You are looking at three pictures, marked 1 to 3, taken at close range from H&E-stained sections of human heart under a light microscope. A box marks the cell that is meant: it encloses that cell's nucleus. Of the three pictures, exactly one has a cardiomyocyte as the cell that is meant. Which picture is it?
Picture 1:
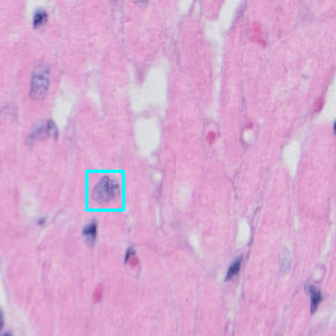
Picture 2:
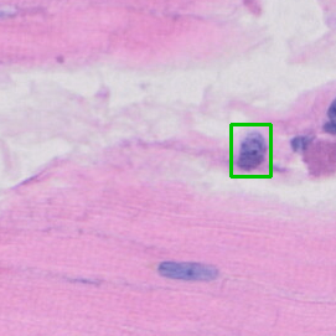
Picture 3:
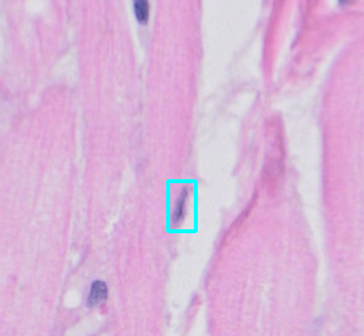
1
